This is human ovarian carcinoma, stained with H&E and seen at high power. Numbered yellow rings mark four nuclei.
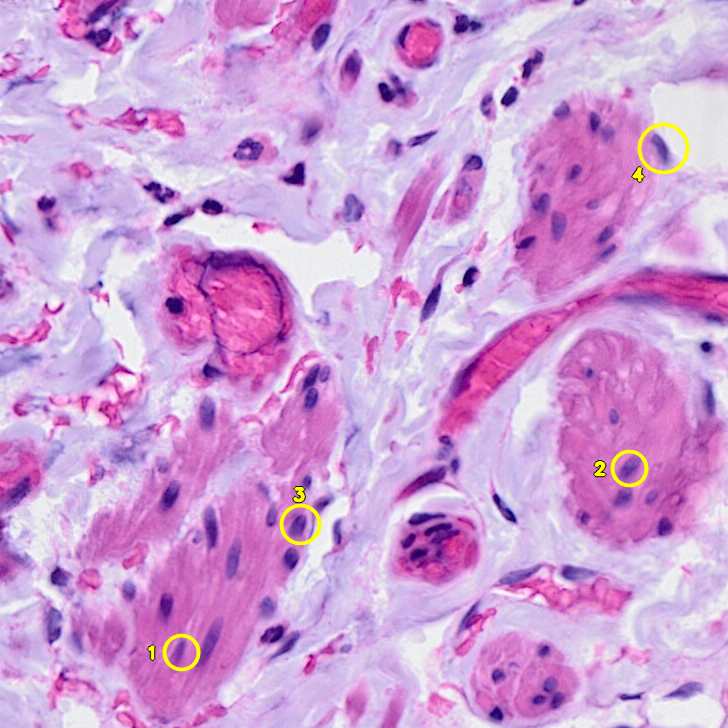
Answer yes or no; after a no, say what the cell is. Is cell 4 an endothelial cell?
Yes.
